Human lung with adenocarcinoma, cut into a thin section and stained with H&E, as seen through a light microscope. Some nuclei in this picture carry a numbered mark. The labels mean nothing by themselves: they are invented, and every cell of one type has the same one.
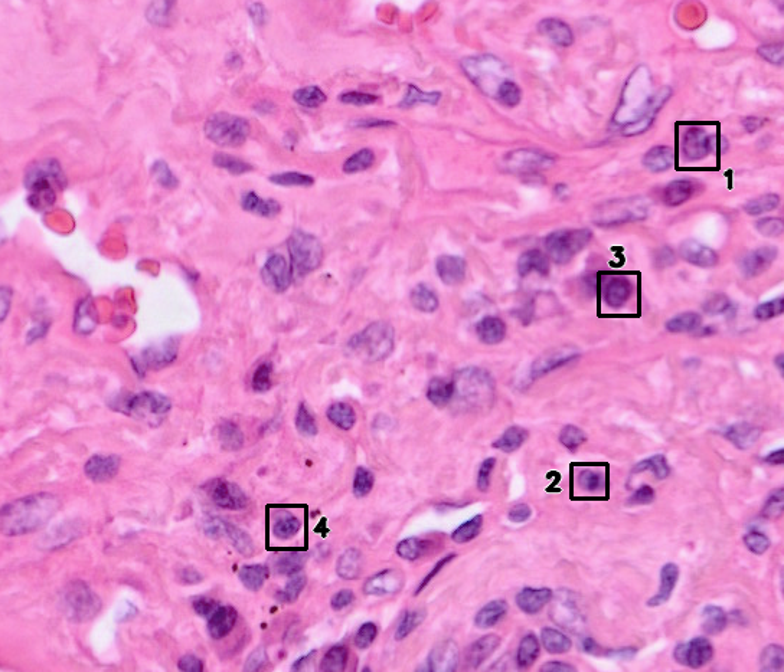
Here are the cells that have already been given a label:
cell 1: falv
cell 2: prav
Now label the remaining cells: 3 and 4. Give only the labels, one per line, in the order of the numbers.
falv
prav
